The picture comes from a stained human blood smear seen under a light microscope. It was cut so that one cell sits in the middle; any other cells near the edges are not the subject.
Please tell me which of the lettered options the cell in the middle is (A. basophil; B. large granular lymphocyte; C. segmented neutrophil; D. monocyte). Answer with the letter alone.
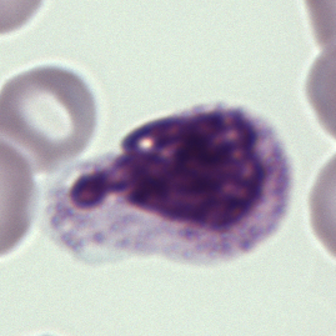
C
